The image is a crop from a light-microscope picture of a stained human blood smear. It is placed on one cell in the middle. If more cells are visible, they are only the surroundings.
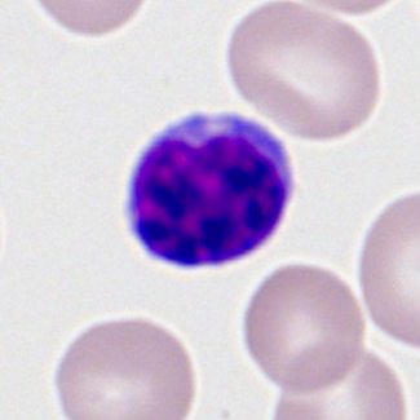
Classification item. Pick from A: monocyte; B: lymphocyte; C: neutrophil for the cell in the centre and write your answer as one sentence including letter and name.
In this crop the middle cell is a lymphocyte, so option B is the correct answer.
